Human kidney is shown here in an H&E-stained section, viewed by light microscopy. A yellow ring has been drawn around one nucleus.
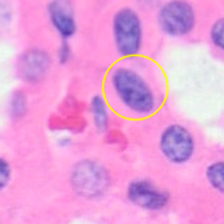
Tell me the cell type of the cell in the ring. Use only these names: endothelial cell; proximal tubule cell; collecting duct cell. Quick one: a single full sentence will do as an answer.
Within the stained tissue, the cell in the ring is a collecting duct cell.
